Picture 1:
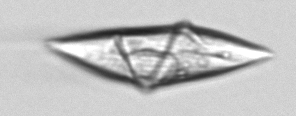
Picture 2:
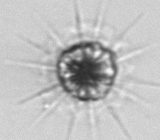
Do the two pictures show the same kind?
No: Gyrodinium, then a radiolarian.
